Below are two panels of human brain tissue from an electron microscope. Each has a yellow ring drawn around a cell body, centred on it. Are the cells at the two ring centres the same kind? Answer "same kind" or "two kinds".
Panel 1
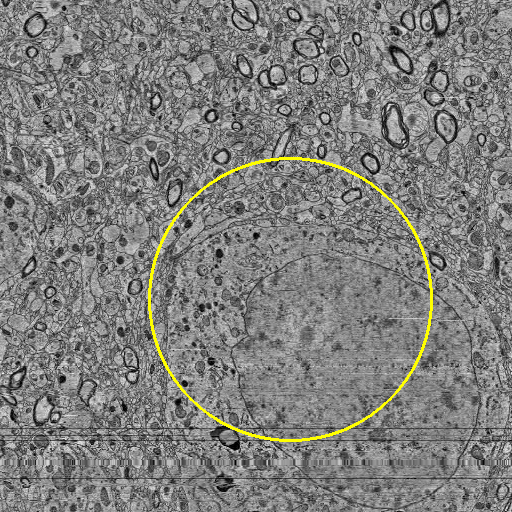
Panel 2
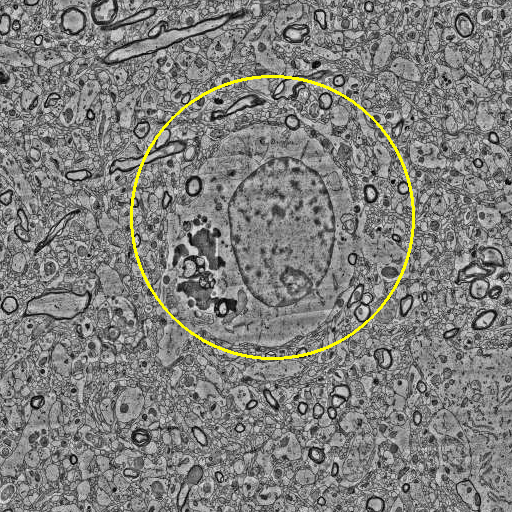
two kinds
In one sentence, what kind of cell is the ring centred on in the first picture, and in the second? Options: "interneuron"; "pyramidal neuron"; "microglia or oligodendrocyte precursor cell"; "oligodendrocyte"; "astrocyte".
The cell at the centre of the second ring is an astrocyte; the first ring's cell is a pyramidal neuron.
